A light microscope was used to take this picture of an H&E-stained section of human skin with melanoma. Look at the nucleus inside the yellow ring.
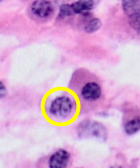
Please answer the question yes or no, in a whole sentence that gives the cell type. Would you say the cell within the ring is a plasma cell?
Yes, by cell type, the cell within the ring is a plasma cell.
